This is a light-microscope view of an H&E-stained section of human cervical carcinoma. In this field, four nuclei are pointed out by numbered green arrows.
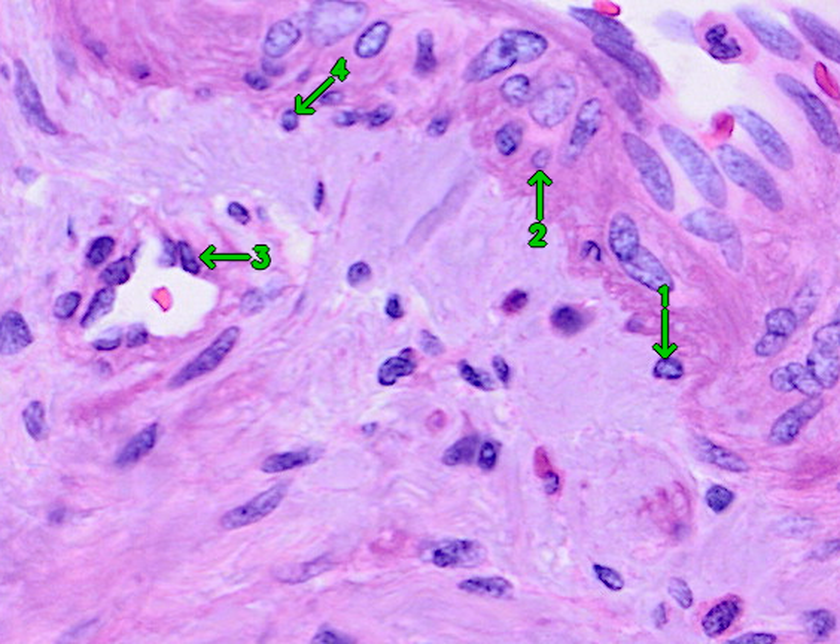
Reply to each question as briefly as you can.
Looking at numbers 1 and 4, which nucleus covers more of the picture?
1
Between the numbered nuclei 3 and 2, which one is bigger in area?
3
